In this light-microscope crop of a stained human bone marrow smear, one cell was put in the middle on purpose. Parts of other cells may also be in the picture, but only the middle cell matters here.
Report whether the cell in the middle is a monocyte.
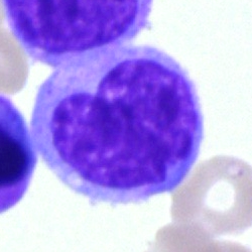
yes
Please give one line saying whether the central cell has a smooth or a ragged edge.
A smooth outline is absent here, replaced by ragged stretches or projections.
